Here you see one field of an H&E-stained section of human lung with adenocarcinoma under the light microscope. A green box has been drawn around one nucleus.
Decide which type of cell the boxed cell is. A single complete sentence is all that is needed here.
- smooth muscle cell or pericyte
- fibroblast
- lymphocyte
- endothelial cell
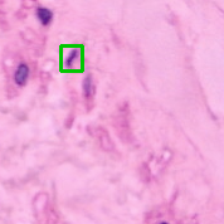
As a matter of cell type, the boxed cell is a smooth muscle cell or pericyte.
